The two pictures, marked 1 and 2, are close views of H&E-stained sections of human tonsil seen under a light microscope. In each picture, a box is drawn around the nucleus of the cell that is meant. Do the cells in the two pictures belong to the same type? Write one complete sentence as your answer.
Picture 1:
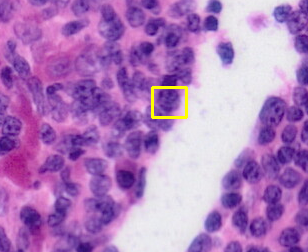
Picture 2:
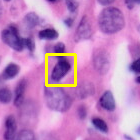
No, picture 1 shows a proliferating B cell and picture 2 shows an endothelial cell.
